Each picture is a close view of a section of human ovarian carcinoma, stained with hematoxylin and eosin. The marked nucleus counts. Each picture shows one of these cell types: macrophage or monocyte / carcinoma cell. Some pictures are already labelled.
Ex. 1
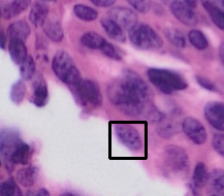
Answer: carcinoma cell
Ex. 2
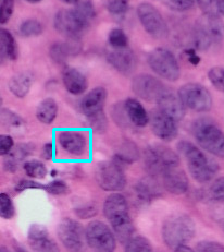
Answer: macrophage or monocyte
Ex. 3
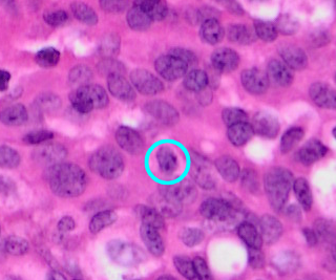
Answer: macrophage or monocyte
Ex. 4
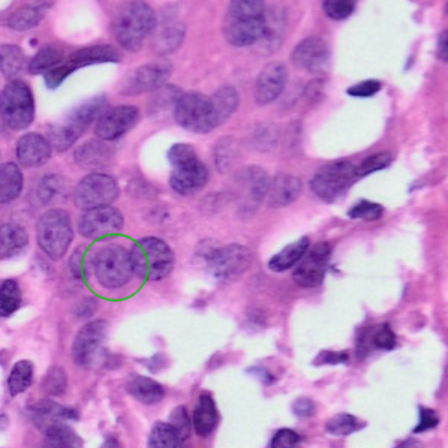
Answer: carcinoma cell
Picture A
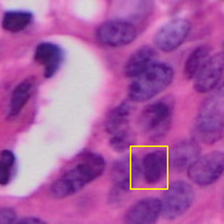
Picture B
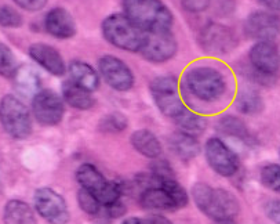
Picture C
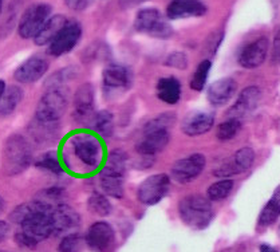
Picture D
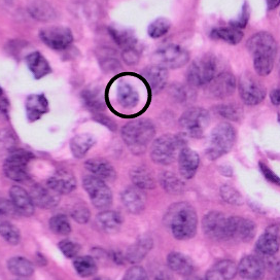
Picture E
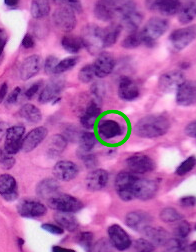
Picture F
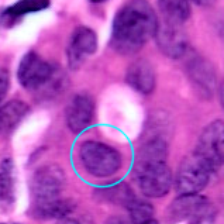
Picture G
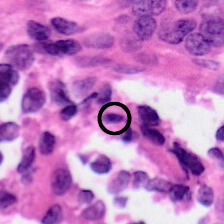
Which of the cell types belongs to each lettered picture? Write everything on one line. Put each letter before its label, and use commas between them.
A carcinoma cell, B carcinoma cell, C carcinoma cell, D macrophage or monocyte, E carcinoma cell, F carcinoma cell, G macrophage or monocyte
